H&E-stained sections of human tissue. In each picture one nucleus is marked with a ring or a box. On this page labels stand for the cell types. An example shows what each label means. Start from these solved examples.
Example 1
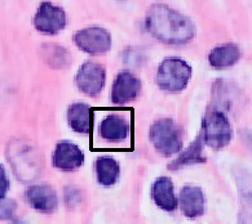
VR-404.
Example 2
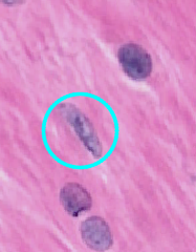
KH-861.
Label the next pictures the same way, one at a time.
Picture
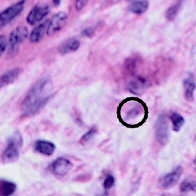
KH-861.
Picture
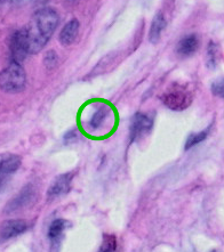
KH-861.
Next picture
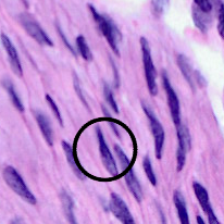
KH-861.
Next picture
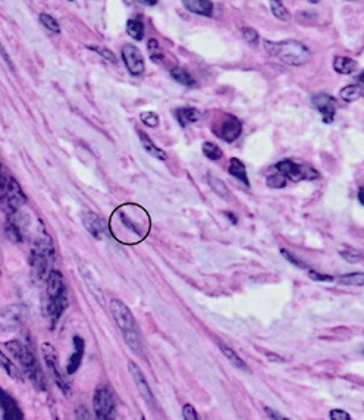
KH-861.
